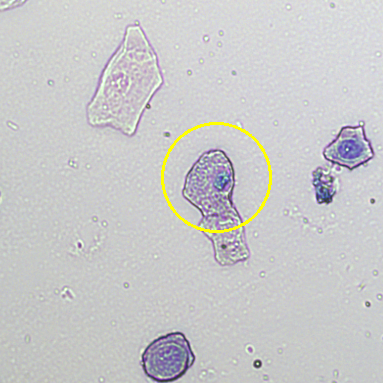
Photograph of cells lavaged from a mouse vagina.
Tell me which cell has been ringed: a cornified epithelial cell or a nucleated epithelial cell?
It is a nucleated epithelial cell.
